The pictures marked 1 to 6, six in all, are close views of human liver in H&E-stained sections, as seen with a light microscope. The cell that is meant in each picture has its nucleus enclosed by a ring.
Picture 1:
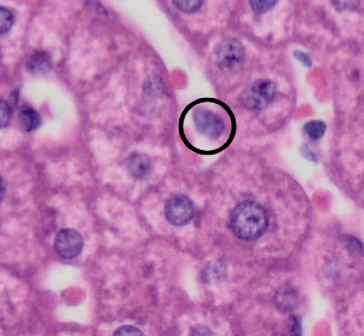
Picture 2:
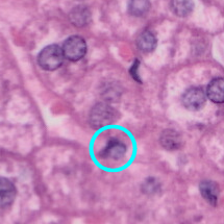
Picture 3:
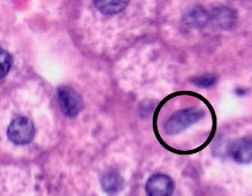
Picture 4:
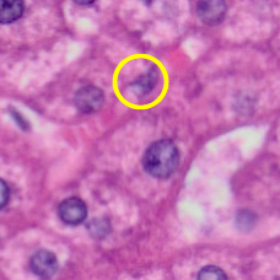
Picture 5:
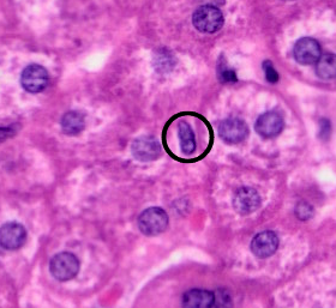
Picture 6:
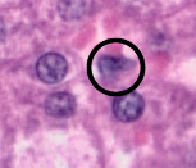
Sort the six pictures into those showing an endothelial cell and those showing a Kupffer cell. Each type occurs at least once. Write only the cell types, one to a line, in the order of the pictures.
Kupffer cell
endothelial cell
Kupffer cell
endothelial cell
Kupffer cell
Kupffer cell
